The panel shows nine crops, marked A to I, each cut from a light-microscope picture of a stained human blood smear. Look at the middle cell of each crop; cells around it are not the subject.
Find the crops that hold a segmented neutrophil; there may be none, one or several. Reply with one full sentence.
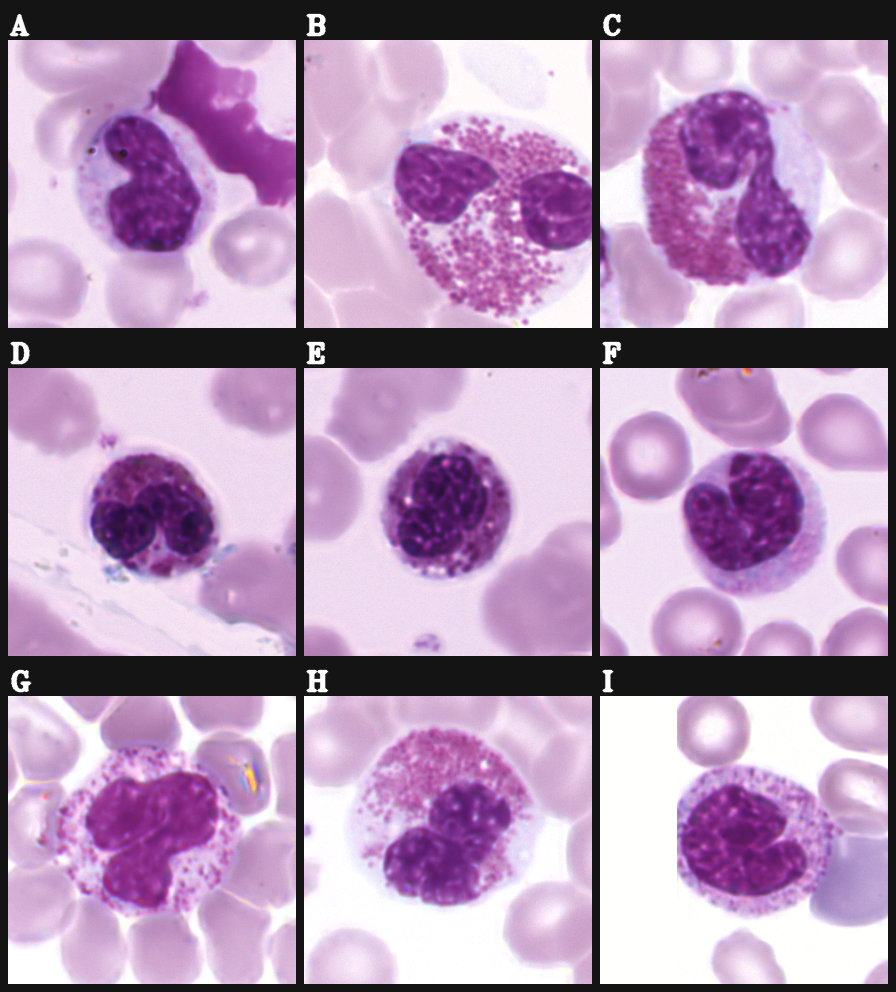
What is shown in the crops does not include a segmented neutrophil.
